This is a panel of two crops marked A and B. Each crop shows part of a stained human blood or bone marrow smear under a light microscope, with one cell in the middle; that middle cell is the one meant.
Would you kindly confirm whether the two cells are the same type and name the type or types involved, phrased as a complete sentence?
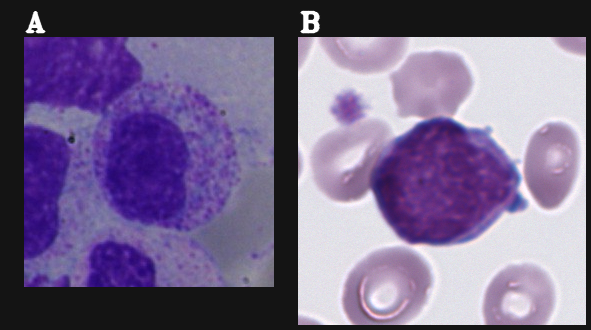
No, the assignment should read crop A, a myelocyte; crop B, a blast.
